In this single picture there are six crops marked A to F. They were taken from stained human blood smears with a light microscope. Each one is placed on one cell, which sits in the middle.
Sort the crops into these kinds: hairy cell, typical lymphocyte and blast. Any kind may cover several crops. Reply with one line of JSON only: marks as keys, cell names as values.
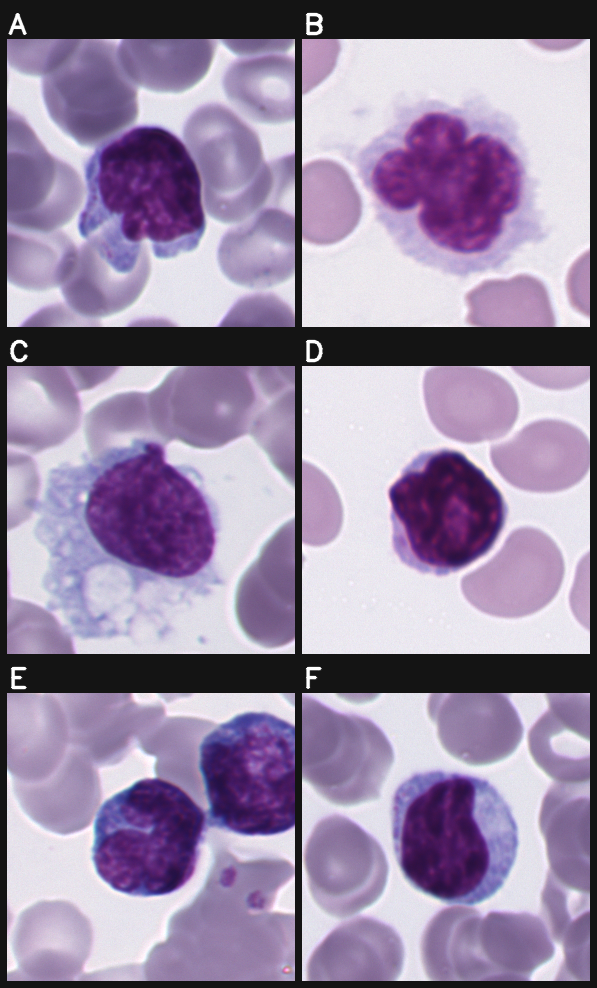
{"A": "typical lymphocyte", "B": "hairy cell", "C": "hairy cell", "D": "typical lymphocyte", "E": "typical lymphocyte", "F": "typical lymphocyte"}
